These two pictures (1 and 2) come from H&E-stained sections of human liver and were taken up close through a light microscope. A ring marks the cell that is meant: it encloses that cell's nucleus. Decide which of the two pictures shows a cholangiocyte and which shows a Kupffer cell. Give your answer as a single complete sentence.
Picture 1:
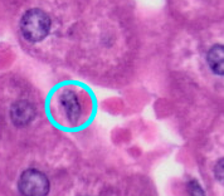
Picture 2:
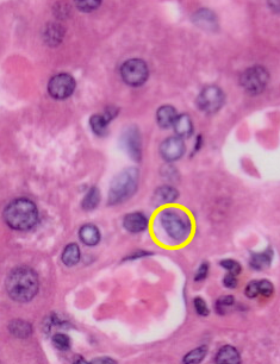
It is picture 1 that shows a Kupffer cell, and picture 2 that shows a cholangiocyte.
